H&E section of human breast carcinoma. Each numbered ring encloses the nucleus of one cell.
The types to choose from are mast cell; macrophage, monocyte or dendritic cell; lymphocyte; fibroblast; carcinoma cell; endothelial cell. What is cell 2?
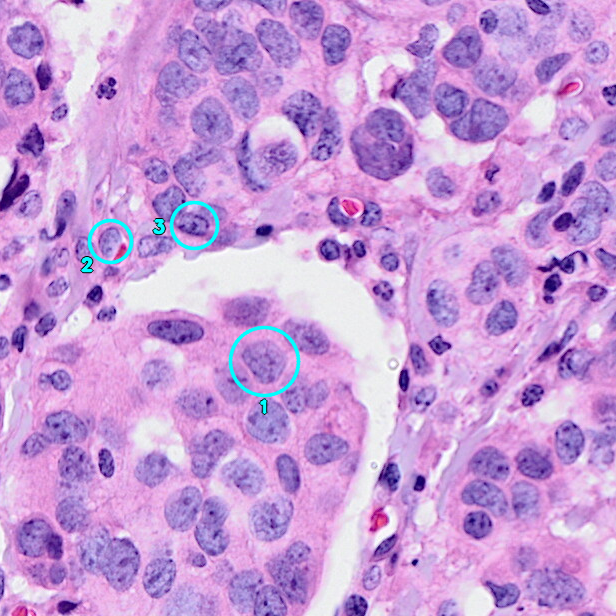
endothelial cell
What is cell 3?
carcinoma cell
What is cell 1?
carcinoma cell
